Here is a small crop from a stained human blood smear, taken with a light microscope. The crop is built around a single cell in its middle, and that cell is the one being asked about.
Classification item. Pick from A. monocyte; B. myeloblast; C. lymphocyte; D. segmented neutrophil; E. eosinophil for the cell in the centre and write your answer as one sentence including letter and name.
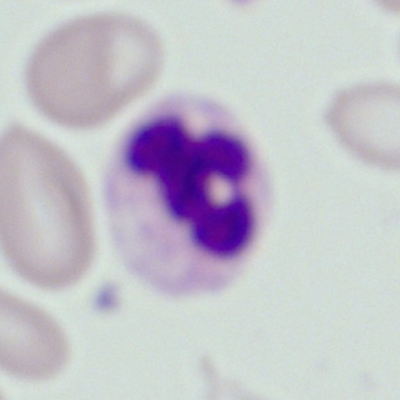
The cell in the middle is a segmented neutrophil, and that makes option D correct.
